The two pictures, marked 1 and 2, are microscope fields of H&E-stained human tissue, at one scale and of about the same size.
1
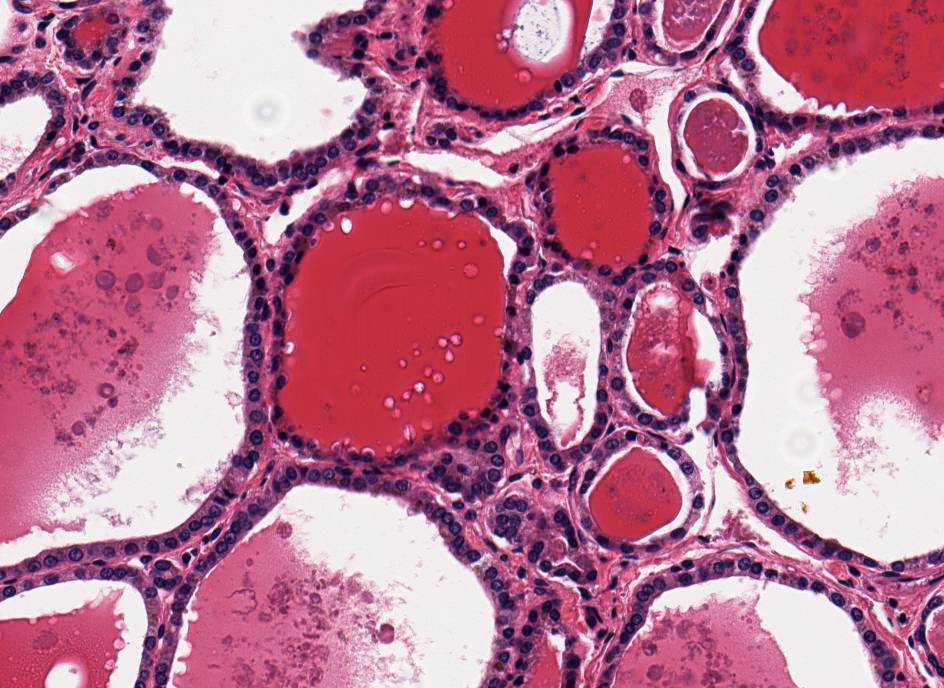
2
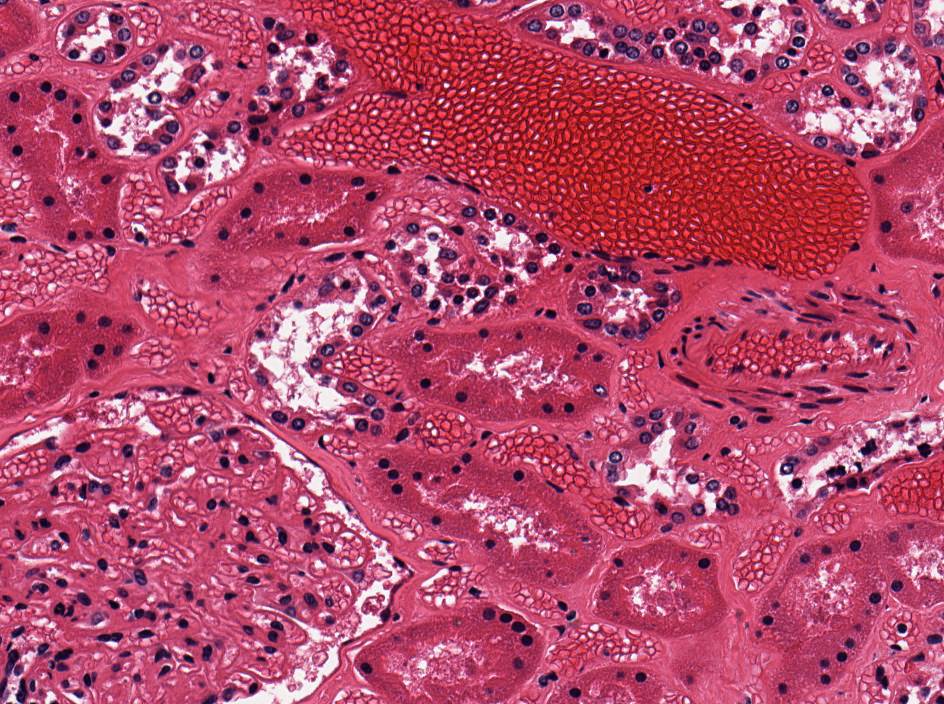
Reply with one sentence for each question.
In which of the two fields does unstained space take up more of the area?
Field 1 has more white space.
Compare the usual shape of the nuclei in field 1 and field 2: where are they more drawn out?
It is field 1 whose nuclei are the more elongated.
